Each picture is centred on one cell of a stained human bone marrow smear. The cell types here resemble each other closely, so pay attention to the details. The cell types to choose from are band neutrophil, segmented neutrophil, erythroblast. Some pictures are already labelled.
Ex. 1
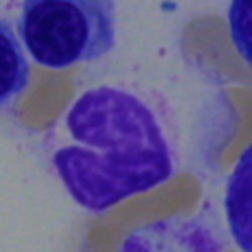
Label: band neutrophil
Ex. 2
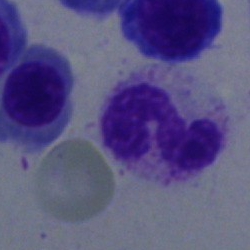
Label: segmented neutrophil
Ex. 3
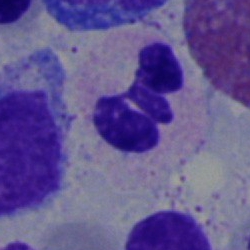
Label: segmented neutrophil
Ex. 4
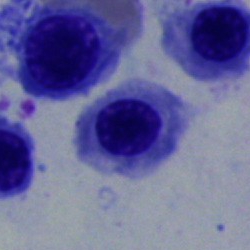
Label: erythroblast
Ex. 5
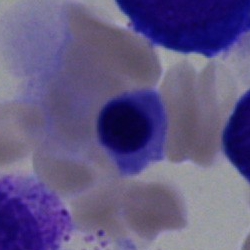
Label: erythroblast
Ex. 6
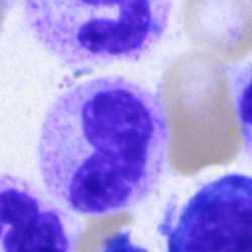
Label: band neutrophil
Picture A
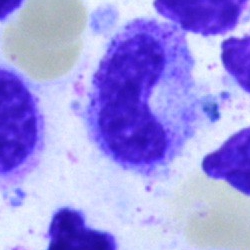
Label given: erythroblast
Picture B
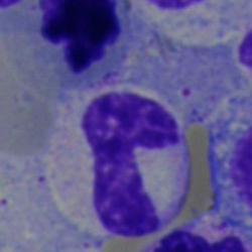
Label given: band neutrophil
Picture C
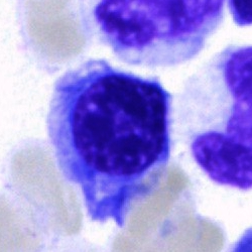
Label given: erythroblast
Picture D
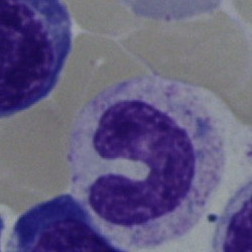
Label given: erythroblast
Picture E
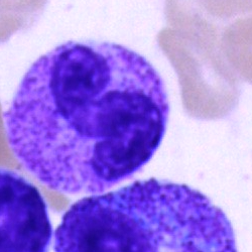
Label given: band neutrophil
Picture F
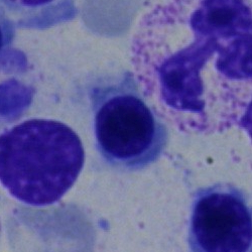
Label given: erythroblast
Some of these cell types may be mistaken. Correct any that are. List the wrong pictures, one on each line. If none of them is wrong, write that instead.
A: change erythroblast to band neutrophil
D: change erythroblast to band neutrophil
